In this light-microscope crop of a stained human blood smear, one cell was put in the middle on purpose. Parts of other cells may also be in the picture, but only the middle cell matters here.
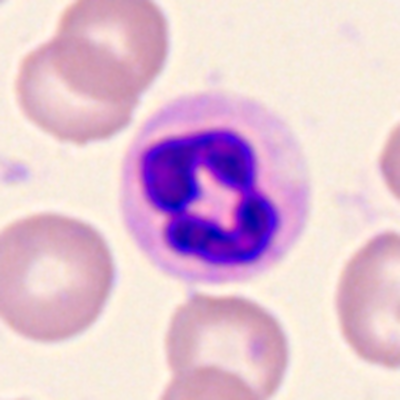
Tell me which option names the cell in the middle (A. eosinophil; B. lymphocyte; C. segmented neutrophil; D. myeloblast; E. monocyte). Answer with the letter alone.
C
